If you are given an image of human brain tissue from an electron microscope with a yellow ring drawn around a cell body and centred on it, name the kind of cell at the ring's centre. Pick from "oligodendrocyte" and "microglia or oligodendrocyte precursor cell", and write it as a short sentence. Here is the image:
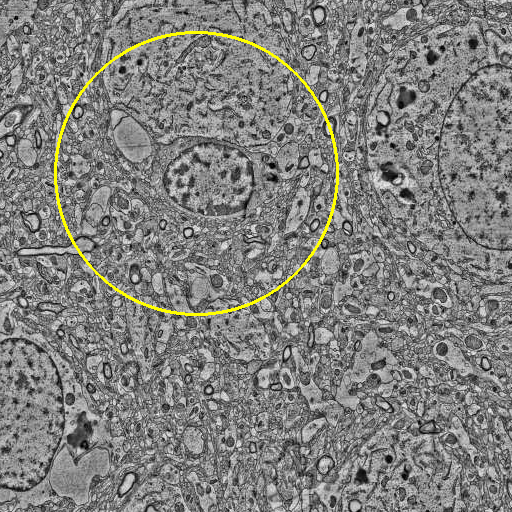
The cell at the ring's centre is an oligodendrocyte.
